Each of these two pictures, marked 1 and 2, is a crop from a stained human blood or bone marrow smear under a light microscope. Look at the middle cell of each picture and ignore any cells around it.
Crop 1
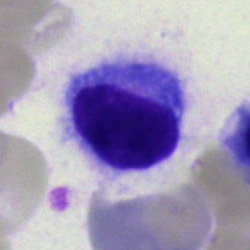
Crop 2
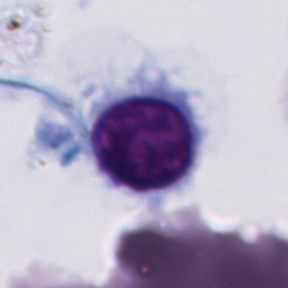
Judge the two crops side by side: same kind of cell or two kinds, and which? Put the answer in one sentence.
Yes, hairy cells are present at the centre of both crops.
